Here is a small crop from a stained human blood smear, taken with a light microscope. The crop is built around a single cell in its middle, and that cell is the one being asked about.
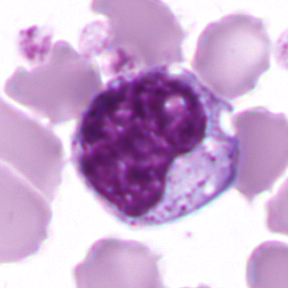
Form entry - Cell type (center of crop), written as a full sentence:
Regarding the central cell, it is a metamyelocyte.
